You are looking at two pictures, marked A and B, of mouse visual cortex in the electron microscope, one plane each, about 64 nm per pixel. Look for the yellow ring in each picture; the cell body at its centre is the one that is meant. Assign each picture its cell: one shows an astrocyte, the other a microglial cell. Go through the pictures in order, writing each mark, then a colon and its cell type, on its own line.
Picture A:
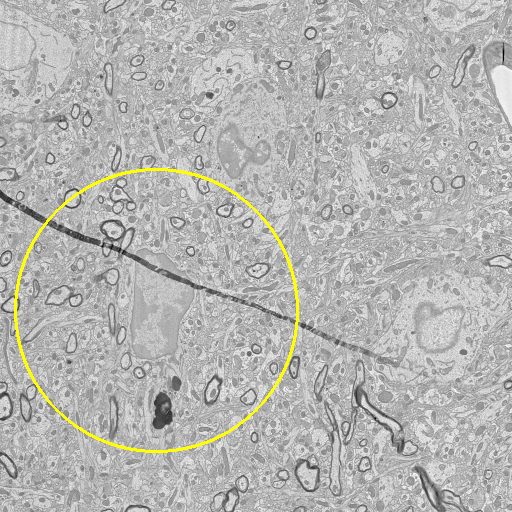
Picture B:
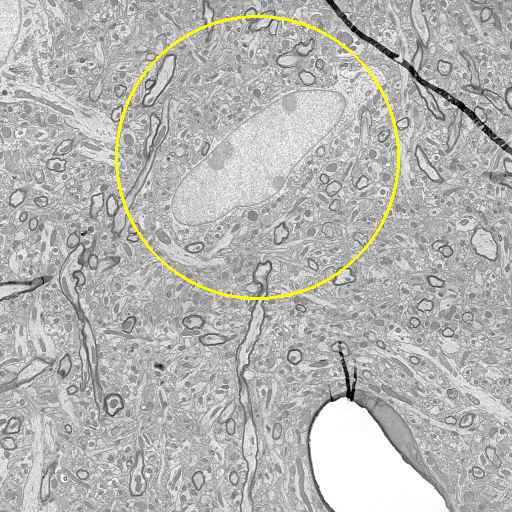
A: microglial cell
B: astrocyte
